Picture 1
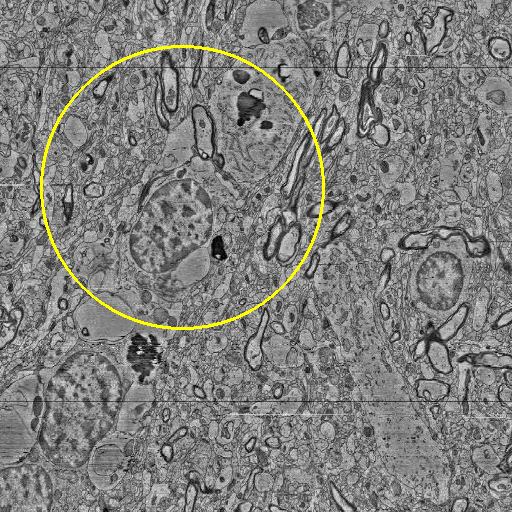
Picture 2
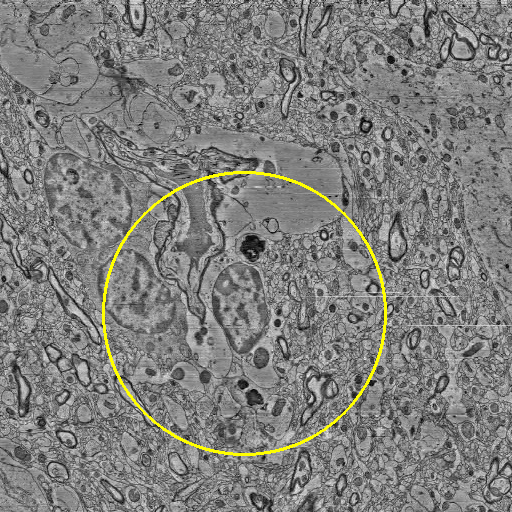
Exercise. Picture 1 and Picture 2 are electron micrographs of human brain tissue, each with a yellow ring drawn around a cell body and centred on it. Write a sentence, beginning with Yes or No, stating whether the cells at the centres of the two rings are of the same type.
Yes, the cells at the centres of both rings are of the same type.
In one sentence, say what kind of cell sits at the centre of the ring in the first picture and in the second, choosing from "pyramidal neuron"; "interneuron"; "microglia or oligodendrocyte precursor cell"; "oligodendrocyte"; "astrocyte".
Each of the ringed cells, first and second, is a microglial cell or oligodendrocyte precursor cell.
